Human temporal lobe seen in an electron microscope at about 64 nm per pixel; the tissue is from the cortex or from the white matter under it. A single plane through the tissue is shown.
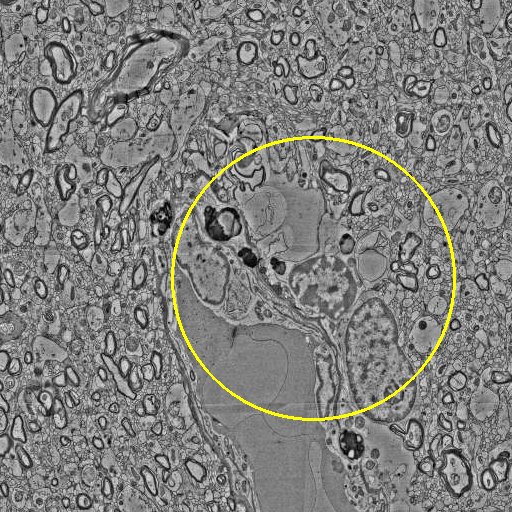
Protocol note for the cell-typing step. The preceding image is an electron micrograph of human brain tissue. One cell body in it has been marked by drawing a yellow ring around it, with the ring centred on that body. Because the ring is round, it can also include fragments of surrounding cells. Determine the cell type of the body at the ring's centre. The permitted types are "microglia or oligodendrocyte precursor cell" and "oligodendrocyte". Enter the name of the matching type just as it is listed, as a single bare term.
microglia or oligodendrocyte precursor cell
